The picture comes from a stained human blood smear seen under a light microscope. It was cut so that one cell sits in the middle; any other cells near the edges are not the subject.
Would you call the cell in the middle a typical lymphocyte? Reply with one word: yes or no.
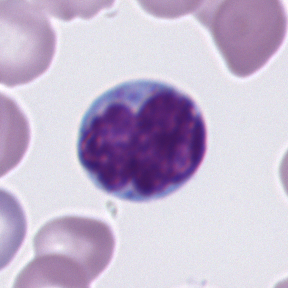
yes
